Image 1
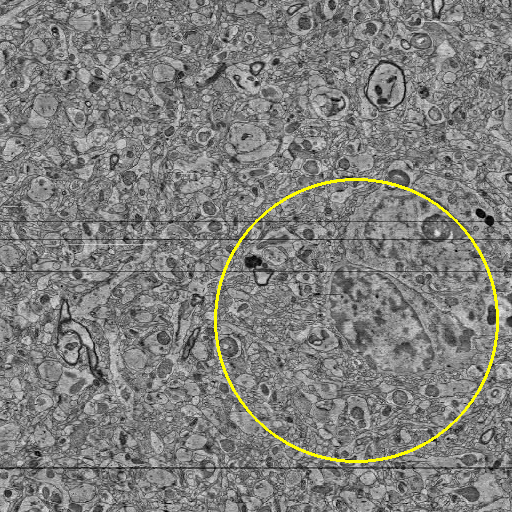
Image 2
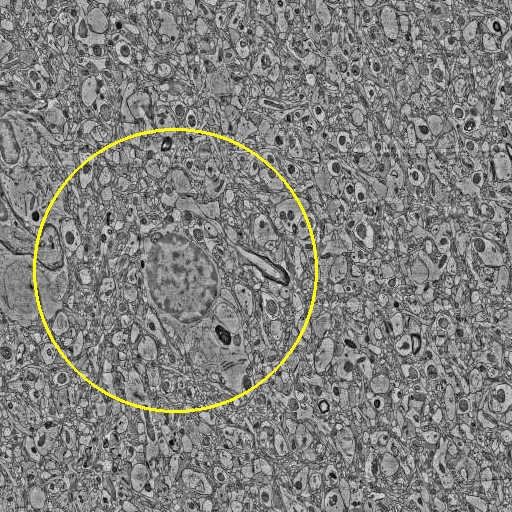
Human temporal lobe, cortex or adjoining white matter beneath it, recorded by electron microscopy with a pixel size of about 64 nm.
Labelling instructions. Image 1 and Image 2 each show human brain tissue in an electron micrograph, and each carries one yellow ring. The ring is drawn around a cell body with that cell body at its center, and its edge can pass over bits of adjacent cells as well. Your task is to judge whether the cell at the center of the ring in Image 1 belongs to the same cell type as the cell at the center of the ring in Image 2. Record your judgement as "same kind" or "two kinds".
same kind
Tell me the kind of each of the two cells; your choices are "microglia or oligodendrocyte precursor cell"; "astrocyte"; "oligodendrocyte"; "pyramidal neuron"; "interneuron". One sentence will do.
Each cell, in the first picture and the second, is an oligodendrocyte.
